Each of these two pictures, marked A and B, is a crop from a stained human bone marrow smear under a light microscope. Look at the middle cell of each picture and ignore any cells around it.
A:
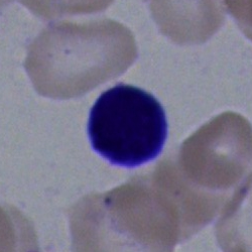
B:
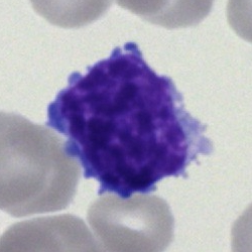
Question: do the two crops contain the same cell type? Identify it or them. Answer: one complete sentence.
No, crop A captures a lymphocyte; meanwhile crop B captures a blast.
